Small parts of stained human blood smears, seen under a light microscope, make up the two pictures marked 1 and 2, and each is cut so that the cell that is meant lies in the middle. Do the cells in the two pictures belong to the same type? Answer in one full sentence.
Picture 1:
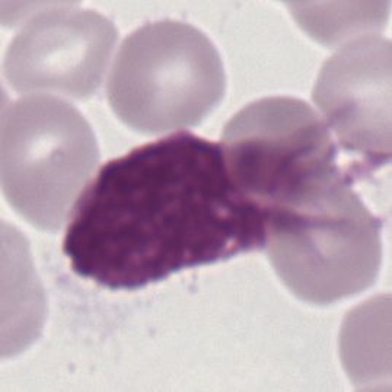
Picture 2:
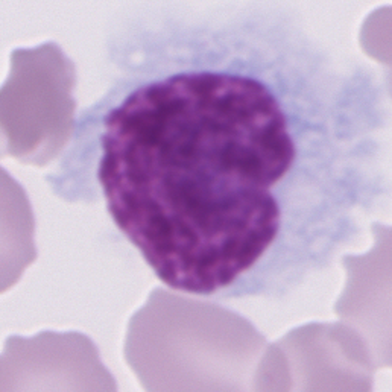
No; the cell in picture 1 is a smudge cell, while the one in picture 2 is a hairy cell.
